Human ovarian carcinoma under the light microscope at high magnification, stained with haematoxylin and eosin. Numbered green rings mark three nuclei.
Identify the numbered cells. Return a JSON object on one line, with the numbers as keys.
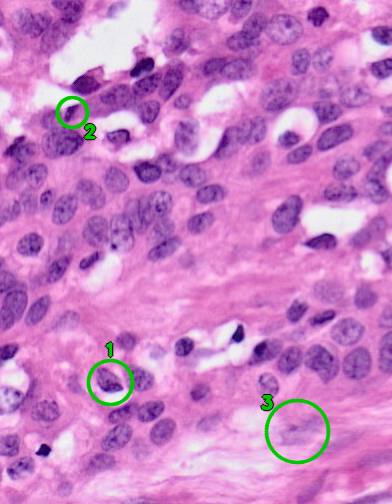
{"1": "carcinoma cell", "2": "carcinoma cell", "3": "fibroblast"}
